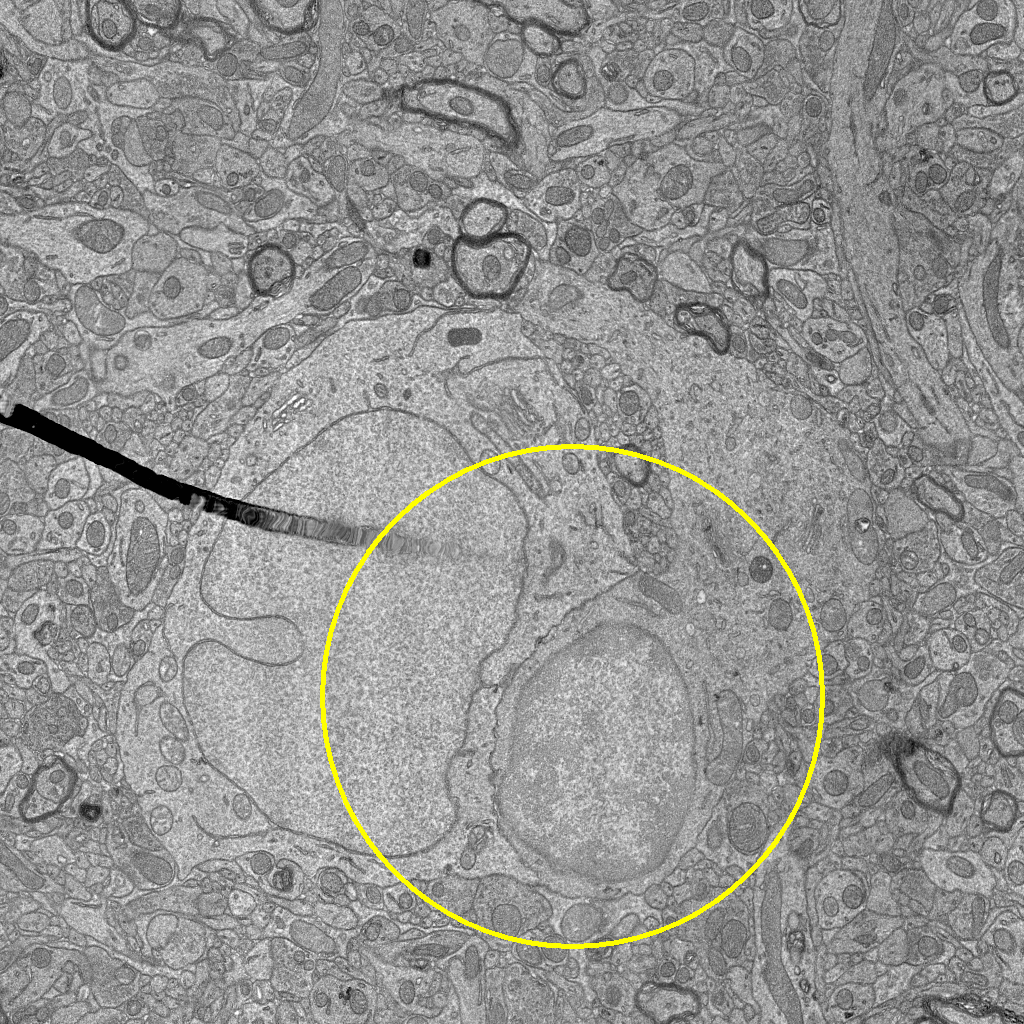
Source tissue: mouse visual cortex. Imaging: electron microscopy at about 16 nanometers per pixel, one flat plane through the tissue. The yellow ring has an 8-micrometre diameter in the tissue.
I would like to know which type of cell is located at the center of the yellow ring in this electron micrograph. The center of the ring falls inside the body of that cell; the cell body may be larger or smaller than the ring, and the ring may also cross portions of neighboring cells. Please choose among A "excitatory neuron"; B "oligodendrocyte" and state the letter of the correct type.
B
